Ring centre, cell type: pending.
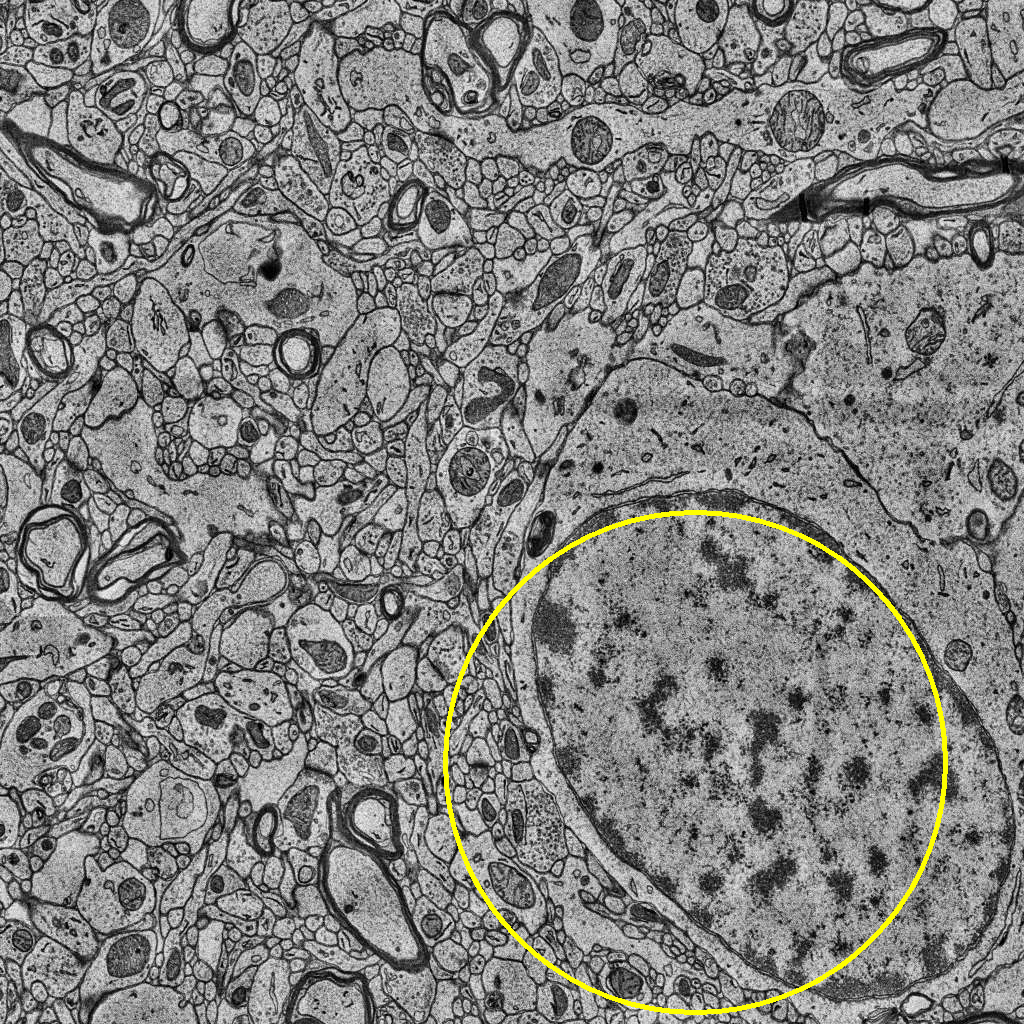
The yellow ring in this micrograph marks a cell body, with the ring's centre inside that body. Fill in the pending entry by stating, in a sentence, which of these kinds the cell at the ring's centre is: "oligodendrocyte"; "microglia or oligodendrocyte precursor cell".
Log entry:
The cell at the ring's centre is recorded as a microglial cell or oligodendrocyte precursor cell.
